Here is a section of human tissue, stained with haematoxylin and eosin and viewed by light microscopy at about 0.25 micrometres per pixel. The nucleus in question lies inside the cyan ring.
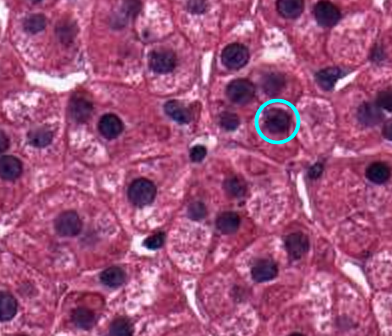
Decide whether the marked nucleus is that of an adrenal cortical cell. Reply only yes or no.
yes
